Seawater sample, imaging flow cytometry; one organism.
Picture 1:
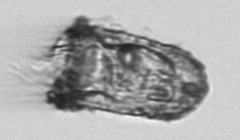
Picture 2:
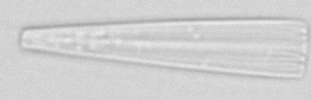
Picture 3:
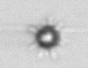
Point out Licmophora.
That is picture 2.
